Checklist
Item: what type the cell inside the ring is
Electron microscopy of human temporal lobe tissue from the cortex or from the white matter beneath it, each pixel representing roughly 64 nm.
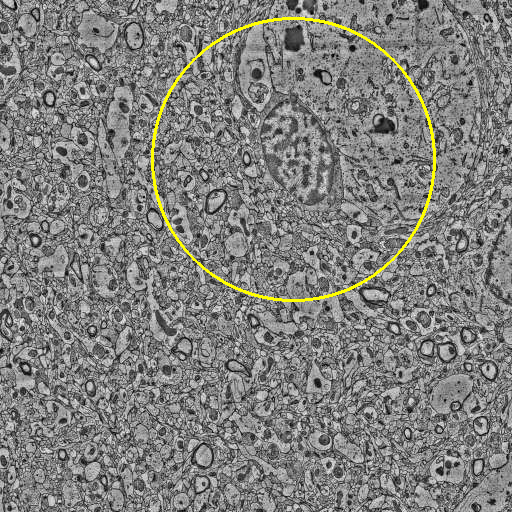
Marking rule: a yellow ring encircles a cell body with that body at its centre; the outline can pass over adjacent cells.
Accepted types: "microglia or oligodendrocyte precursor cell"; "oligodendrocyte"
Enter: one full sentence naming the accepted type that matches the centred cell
The entry is that an oligodendrocyte lies at the centre of the yellow ring.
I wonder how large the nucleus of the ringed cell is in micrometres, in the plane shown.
In this plane, the nucleus is roughly 7 by 4 micrometres.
